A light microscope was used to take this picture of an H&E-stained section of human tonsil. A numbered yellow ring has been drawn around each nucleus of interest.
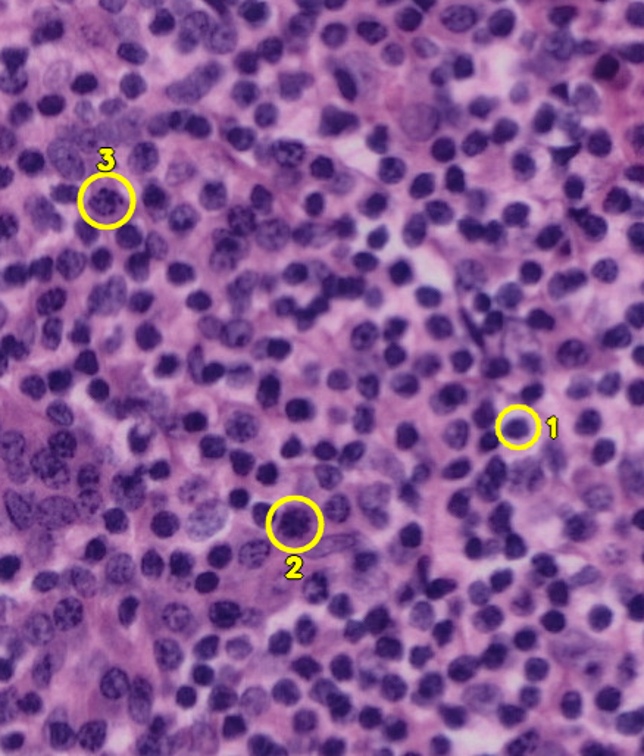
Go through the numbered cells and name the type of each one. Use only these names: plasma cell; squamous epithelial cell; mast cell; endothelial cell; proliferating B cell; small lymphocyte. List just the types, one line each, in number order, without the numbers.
small lymphocyte
plasma cell
plasma cell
